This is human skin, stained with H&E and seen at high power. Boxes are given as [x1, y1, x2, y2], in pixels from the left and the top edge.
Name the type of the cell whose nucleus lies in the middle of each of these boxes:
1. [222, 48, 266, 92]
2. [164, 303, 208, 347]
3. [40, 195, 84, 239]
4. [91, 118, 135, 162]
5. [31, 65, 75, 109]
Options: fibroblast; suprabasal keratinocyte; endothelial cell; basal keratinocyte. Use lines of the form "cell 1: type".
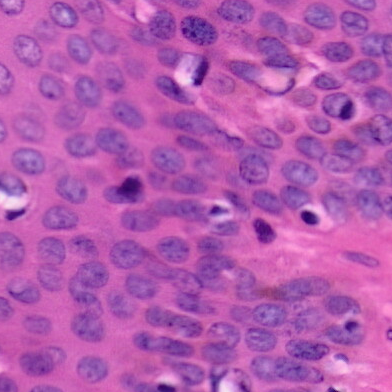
cell 1: basal keratinocyte
cell 2: basal keratinocyte
cell 3: suprabasal keratinocyte
cell 4: suprabasal keratinocyte
cell 5: suprabasal keratinocyte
